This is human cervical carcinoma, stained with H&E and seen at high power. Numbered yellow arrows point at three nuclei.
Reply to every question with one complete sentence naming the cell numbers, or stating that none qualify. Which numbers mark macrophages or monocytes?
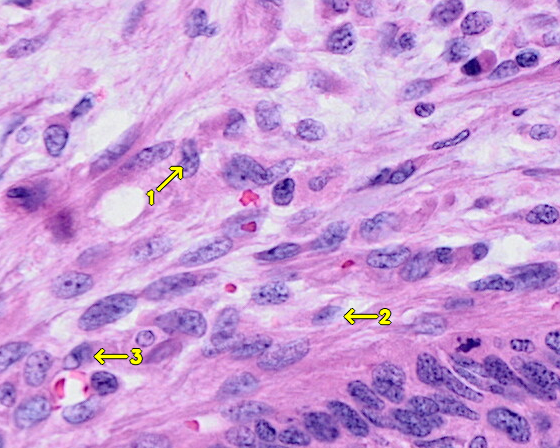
Cell 1 is the one numbered cell that is a macrophage or monocyte.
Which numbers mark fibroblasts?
With the exception of cell 2, no marked cell is a fibroblast.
